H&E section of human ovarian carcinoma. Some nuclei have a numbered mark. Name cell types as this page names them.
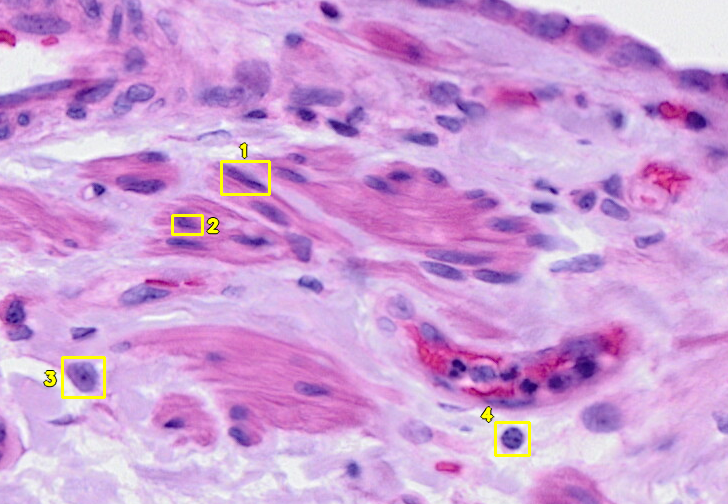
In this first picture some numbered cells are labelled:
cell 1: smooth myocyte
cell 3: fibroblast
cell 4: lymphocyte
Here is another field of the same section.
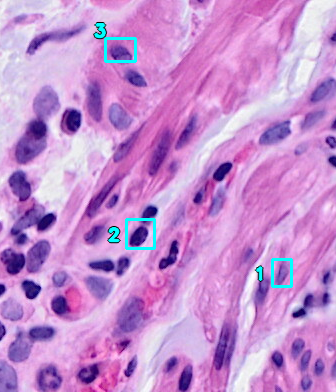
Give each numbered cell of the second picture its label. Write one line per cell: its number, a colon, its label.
1: smooth myocyte
2: lymphocyte
3: smooth myocyte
